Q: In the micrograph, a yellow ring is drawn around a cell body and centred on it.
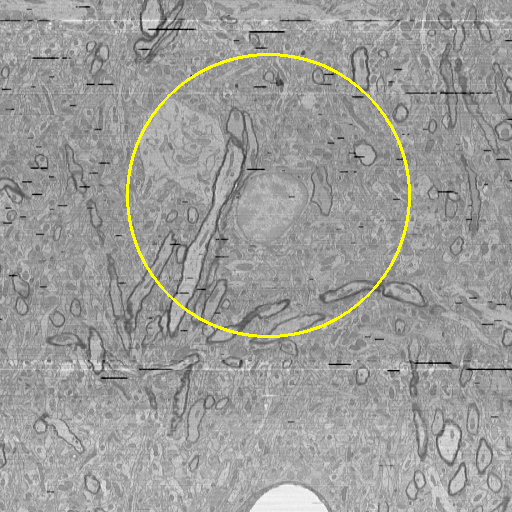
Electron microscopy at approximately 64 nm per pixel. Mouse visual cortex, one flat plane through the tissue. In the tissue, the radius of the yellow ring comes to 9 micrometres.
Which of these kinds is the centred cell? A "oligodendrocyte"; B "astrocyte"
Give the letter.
A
